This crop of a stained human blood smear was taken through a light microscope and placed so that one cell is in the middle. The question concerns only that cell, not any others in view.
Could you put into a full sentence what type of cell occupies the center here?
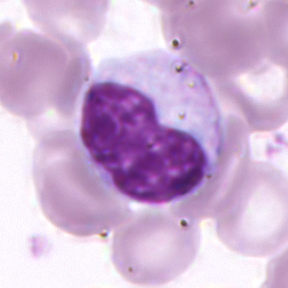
The crop shows a metamyelocyte in its centre.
